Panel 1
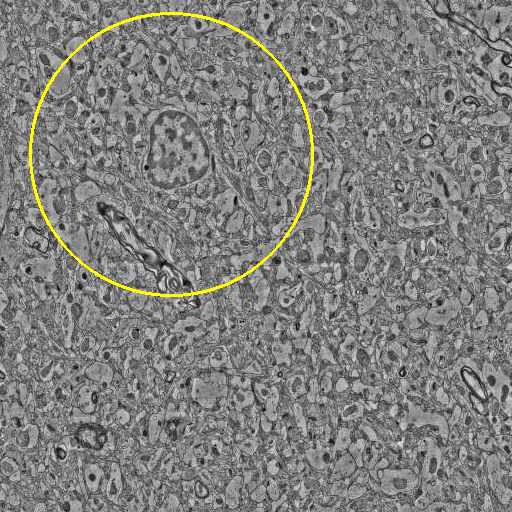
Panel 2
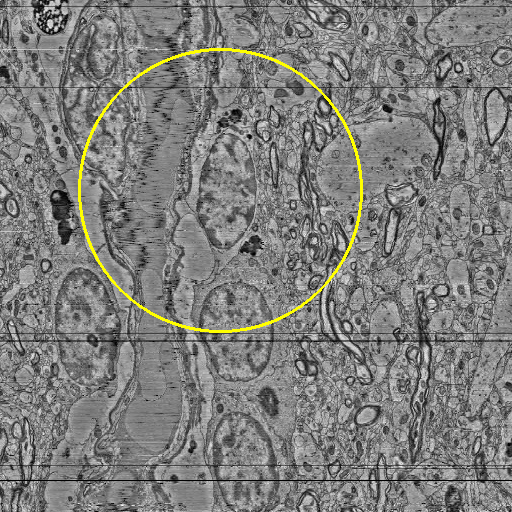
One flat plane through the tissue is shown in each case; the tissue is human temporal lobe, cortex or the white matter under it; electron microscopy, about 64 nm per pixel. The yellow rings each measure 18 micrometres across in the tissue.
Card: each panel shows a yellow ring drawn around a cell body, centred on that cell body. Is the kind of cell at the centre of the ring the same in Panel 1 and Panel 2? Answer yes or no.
yes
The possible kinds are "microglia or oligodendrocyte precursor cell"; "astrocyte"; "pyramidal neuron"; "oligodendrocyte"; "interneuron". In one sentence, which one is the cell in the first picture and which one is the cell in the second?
Each of the two cells is a microglial cell or oligodendrocyte precursor cell.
